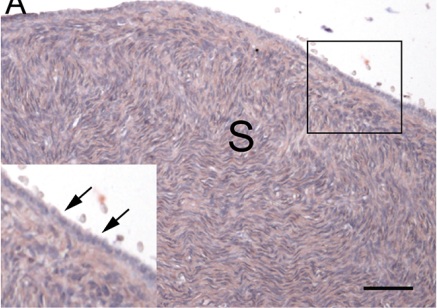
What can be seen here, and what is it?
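Normal ovary with a dense stroma of closely packed spindle-shaped cells with elongated nuclei, arranged in swirling, streaming bundles that take up a light brown tint. Along the outer edge runs a thin single layer of surface epithelial cells, shown enlarged in the inset, which stays bluish rather than brown.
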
